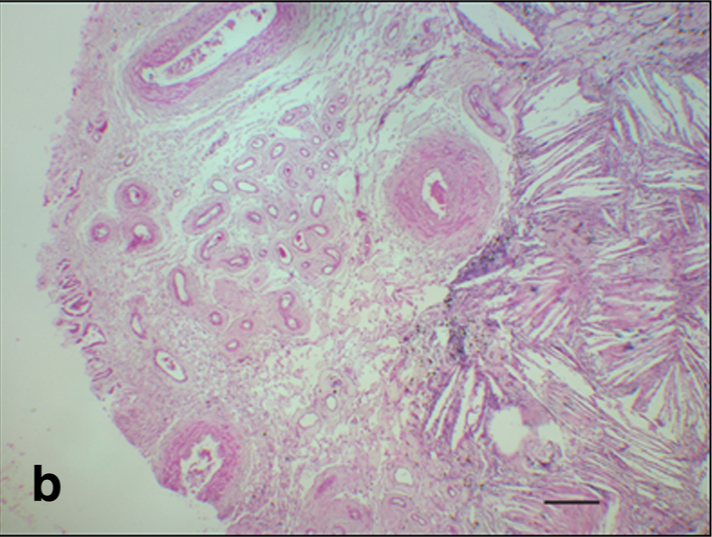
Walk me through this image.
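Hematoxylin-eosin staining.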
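The right side is filled with long, narrow, needle-shaped empty slits that lie in parallel sheaves and radiating fans. Toward the left the clefts give way to loose, pale connective tissue crowded with many small and larger vessels whose walls are thick and bright pink. A thin strip of lining tissue runs along the left edge of the section.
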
